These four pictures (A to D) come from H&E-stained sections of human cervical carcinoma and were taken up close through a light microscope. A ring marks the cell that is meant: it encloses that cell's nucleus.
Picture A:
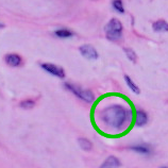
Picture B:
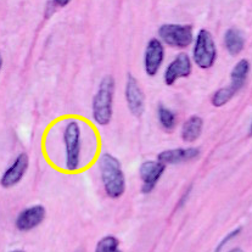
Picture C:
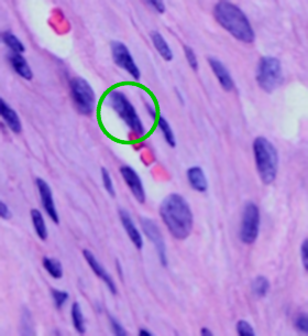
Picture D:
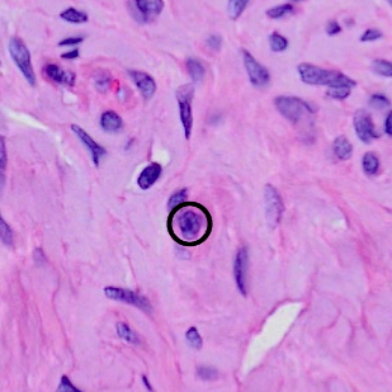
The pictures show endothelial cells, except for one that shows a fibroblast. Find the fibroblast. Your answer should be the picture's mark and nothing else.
B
